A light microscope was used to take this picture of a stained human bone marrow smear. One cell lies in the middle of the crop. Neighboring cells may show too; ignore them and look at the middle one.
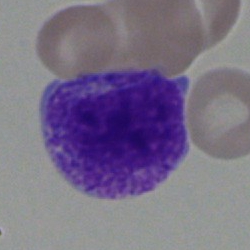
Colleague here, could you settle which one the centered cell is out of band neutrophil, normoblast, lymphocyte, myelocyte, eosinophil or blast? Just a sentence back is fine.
The cell the crop is centered on is a myelocyte.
